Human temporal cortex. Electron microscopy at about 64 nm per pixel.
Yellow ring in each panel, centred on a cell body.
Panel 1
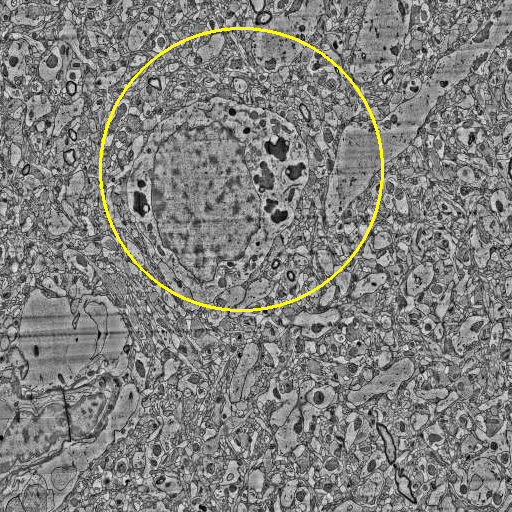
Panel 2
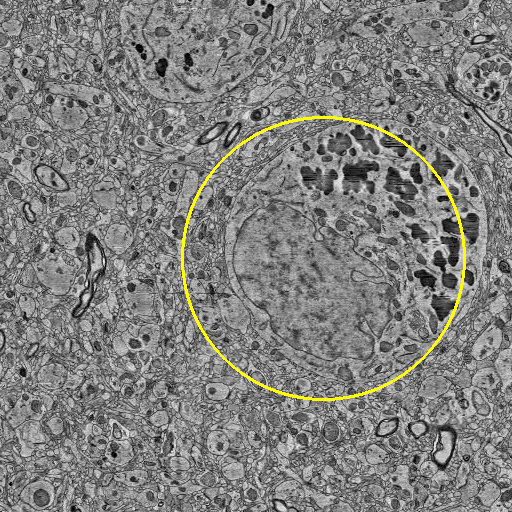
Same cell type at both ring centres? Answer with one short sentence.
Yes, both cells are of the same type.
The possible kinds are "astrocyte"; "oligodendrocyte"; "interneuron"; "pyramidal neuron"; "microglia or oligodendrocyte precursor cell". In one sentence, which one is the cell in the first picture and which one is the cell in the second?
In both pictures the ring is centred on an interneuron.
